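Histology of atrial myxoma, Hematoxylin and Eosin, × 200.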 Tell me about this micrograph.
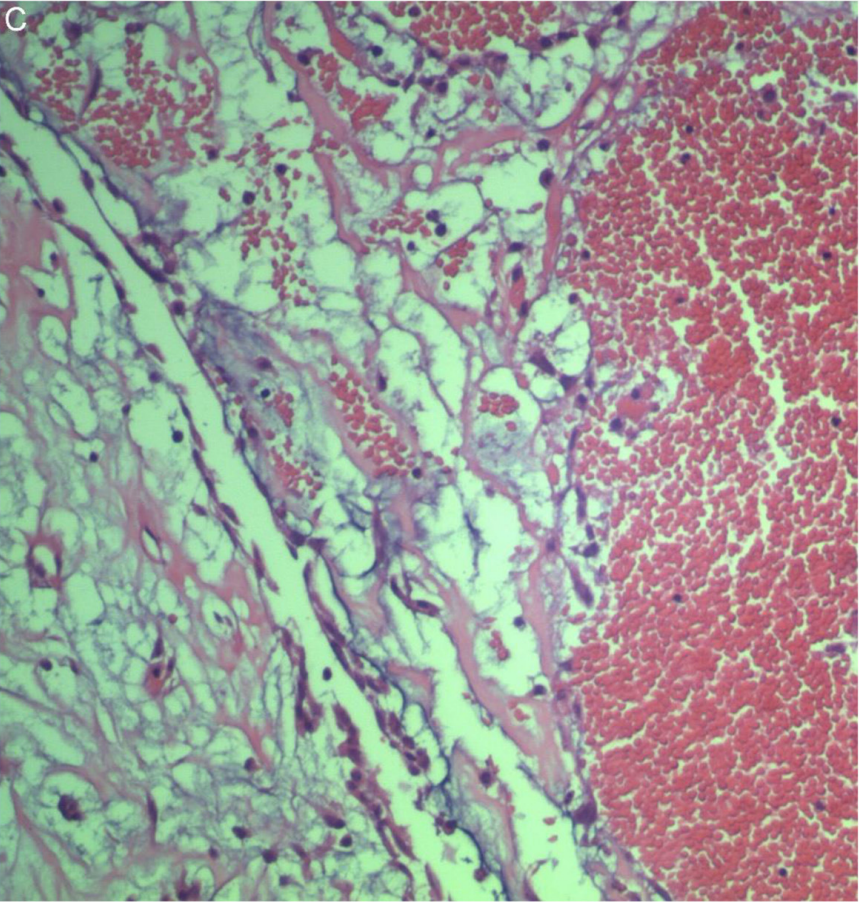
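The matrix is a wispy, lacy network of thin pink and faintly bluish strands with clear spaces between them. The cells are elongated and slender, with dark oval nuclei, and many lie aligned along a band that runs diagonally across the field. Channels packed with red blood cells and bounded by thin walls run through the matrix, and a large mass of red blood cells fills the right part of the field.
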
